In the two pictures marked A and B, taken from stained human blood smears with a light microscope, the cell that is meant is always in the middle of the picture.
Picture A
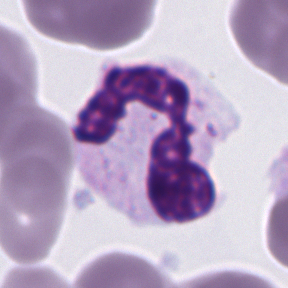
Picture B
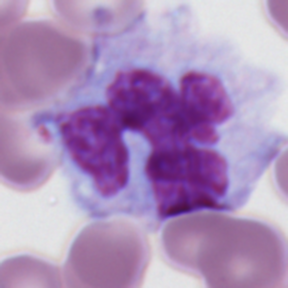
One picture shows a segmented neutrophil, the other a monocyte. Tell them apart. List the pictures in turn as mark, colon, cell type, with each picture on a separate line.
A: segmented neutrophil
B: monocyte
